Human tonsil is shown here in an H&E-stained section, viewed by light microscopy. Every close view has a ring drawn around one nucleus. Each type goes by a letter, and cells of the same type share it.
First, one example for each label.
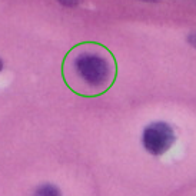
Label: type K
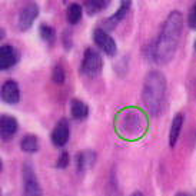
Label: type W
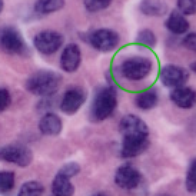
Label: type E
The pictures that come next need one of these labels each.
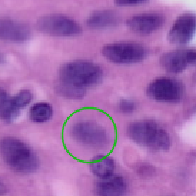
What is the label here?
type K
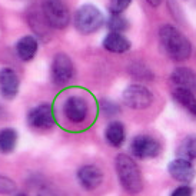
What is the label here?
type E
